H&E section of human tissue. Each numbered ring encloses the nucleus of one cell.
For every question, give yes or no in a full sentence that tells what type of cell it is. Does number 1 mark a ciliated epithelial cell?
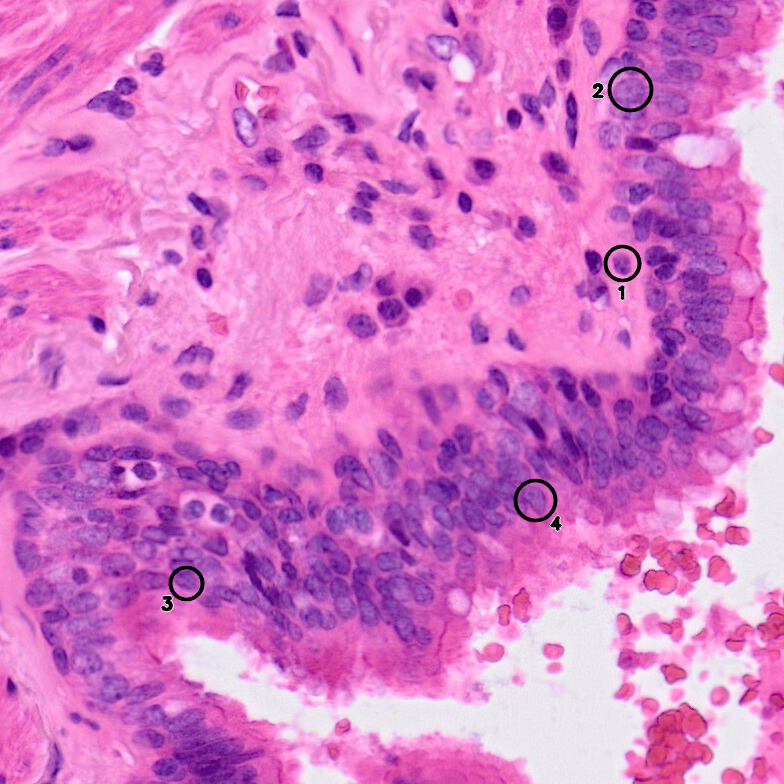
No, with respect, cell 1 is a lymphocyte rather than a ciliated epithelial cell.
